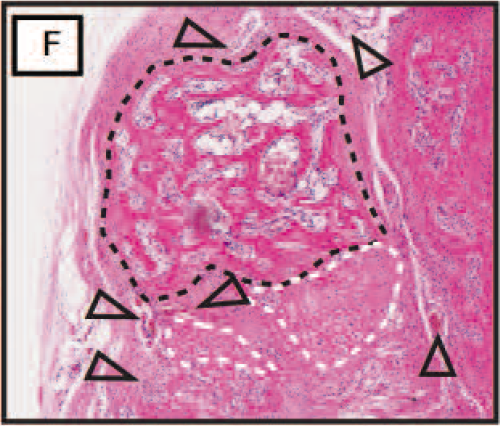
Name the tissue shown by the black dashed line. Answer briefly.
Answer: Bone-like.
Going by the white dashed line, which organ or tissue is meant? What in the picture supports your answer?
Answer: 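Enclosed region is paler and more homogeneous than the trabecular region above. Scattered cells lie in a smooth matrix.
Conclusion: cartilaginous tissues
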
